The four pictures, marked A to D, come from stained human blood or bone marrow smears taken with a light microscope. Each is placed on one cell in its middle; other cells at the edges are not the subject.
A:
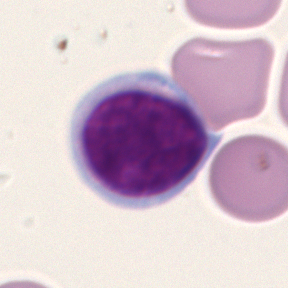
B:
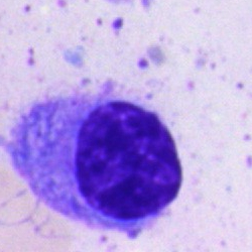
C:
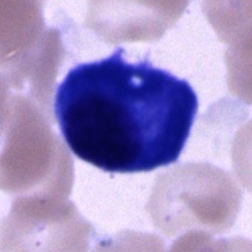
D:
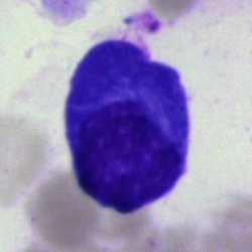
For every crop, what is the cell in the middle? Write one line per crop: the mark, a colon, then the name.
A: lymphocyte
B: plasma cell
C: plasma cell
D: plasma cell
